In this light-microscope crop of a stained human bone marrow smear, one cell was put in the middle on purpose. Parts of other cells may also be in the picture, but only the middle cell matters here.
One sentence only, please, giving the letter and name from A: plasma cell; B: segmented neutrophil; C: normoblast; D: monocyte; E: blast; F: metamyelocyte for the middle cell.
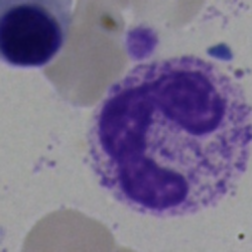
Option B, which names the central cell as a segmented neutrophil, is correct.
